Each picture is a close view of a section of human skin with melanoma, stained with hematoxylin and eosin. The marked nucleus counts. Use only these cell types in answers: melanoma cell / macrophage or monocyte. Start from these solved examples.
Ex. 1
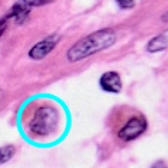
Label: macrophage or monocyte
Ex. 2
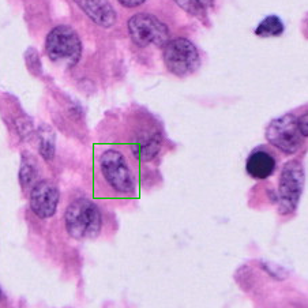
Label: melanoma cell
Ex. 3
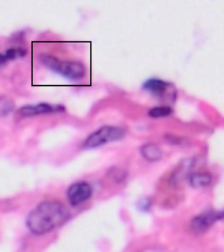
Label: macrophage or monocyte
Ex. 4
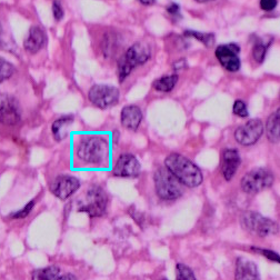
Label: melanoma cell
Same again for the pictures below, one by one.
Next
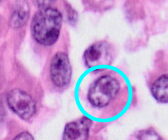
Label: melanoma cell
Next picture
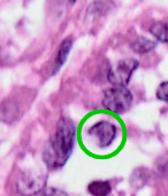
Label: melanoma cell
